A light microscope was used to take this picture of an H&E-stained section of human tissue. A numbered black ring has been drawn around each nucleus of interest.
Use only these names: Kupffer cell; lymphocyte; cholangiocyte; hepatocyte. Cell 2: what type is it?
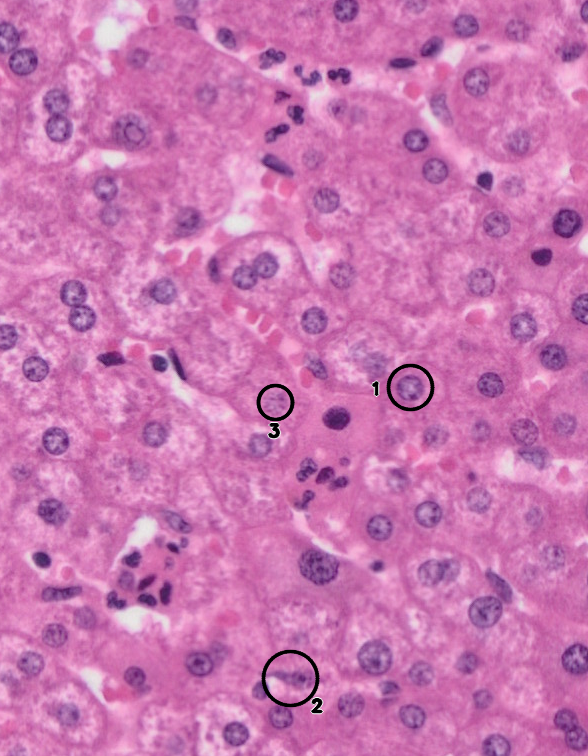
Kupffer cell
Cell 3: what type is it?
hepatocyte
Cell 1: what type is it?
hepatocyte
